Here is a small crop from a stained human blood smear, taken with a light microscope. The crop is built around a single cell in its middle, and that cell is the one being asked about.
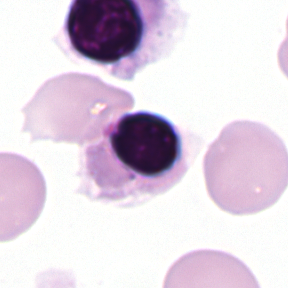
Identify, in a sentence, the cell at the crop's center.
The crop's centre is taken up by a normoblast.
